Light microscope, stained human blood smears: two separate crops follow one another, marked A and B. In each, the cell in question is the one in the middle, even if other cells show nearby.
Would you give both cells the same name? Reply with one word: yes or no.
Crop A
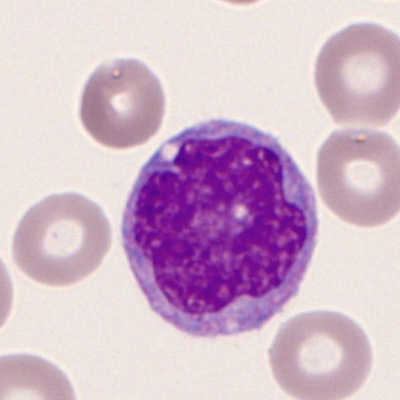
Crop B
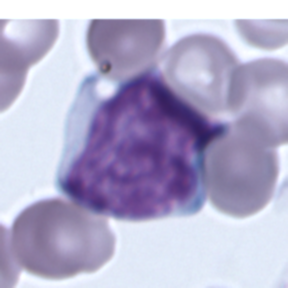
no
